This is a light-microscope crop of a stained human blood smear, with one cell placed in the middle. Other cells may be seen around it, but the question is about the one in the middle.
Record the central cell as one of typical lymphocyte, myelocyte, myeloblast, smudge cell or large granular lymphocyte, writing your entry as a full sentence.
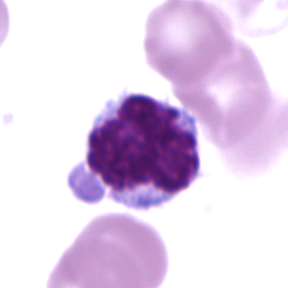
Centrally within this crop lies a typical lymphocyte.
